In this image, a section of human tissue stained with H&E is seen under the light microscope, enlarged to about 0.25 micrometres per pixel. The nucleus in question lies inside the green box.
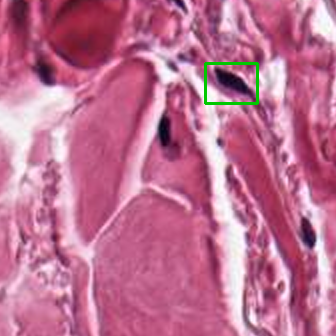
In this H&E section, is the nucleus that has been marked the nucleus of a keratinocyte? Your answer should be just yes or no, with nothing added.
no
